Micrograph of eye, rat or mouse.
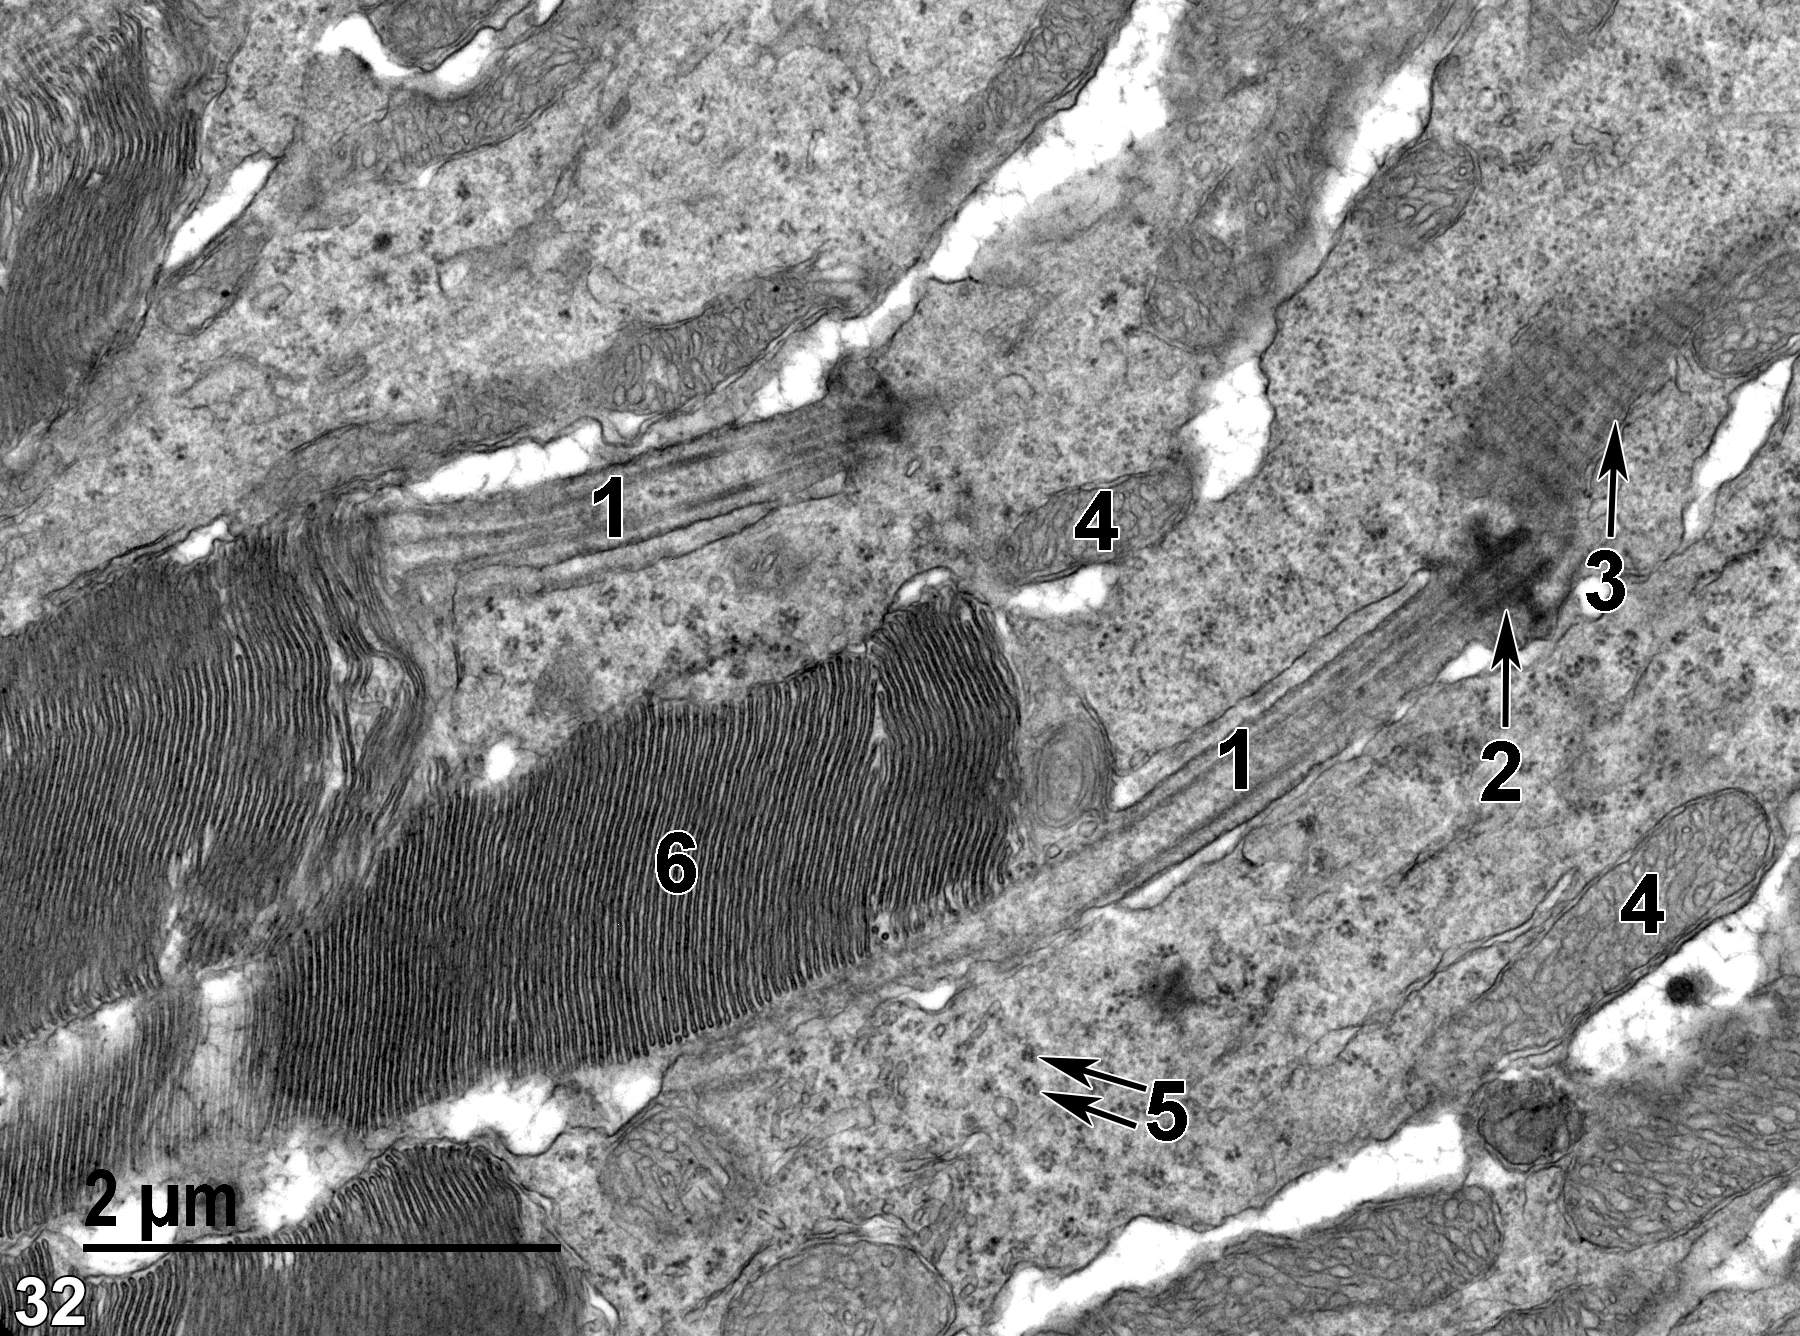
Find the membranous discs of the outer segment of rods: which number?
6.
